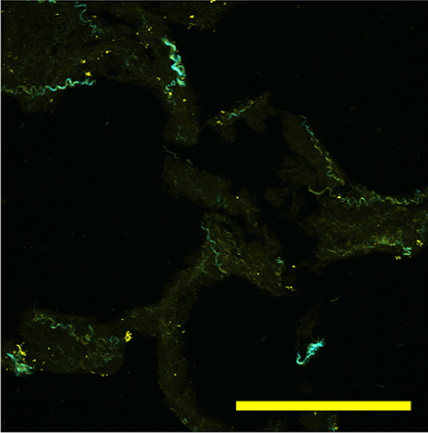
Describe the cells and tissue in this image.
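Lung parenchyma in which thin, faint walls separate large dark airspaces. The walls give a dim, diffuse yellow signal with little fibrillar texture. Only a few short, thin wavy fibres, some cyan and some yellow, run along the margins of the walls. Small bright yellow specks are scattered here and there in the tissue. Most of the field is dark open space.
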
